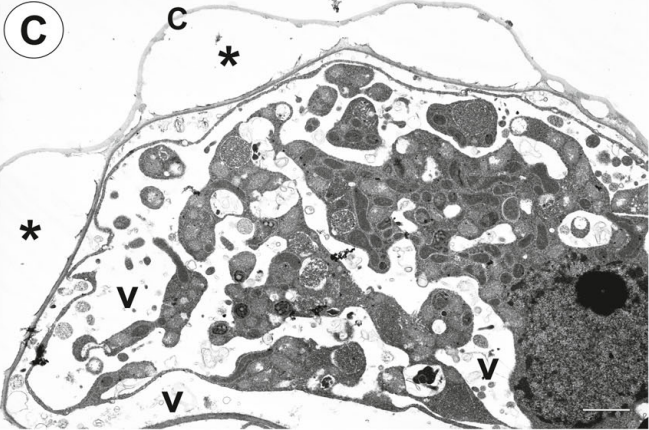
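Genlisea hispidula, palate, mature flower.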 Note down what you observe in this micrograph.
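This electron micrograph shows a head cell of a plant trichome, whose thin outer cuticle is lifted off the cell wall so that wide empty subcuticular spaces lie between them. The cytoplasm is dense and contains many small, dark organelles. Irregular, pale vacuoles wind through the cytoplasm and lie along the cell wall. A nucleus with a very dark nucleolus lies at the lower right of the cell.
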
